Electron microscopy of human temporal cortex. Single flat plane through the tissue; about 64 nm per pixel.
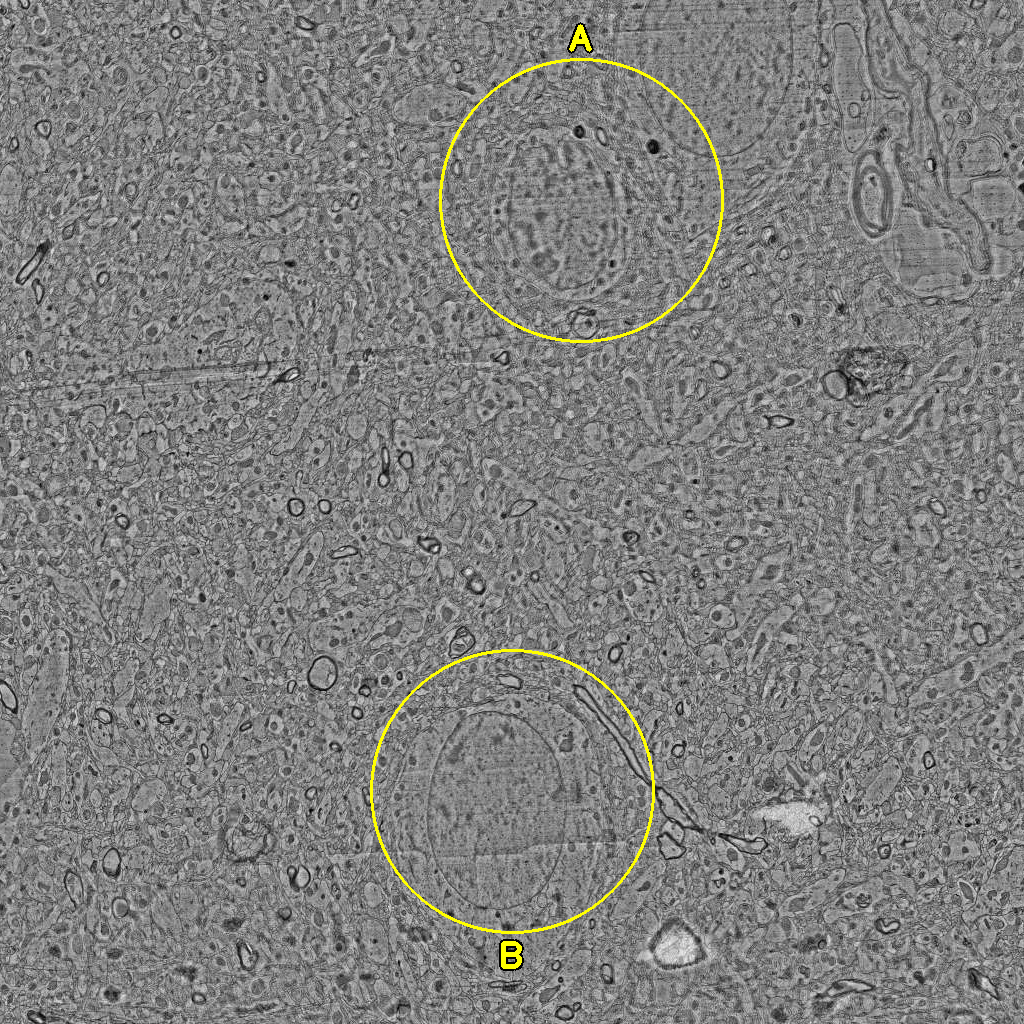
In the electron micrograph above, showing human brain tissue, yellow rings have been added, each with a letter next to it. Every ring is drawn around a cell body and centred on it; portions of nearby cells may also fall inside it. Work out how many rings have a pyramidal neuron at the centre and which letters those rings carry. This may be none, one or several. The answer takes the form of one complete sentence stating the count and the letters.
There is a single ring with a pyramidal neuron at its centre, and it is labelled B.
